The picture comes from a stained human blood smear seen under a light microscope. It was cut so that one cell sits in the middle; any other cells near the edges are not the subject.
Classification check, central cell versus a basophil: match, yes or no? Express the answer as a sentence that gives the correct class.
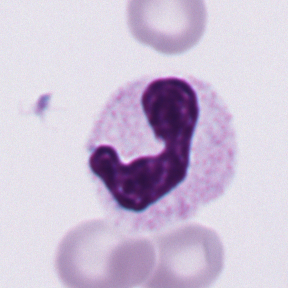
No, what is centred in the crop is not a basophil but a neutrophil.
